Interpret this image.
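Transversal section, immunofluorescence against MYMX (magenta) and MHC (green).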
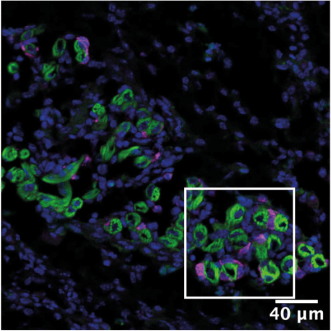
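The fibres are grouped in bundles separated by loosely arranged tissue with scattered blue nuclei. Magenta-stained cells sit in the spaces between the green rings, adjoining the fibres rather than inside them. The white box marks a bundle where several magenta cells are interspersed among the green fibres.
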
